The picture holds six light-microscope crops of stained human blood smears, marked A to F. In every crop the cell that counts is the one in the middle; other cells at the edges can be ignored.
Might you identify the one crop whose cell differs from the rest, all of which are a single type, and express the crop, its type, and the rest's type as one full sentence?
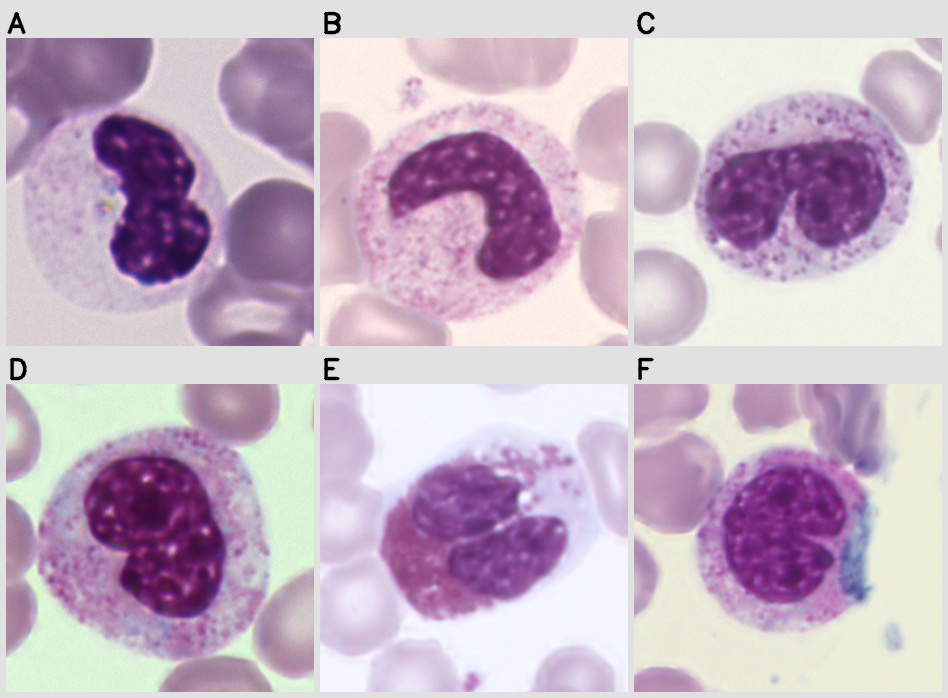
While crop E shows an eosinophil, the other crops all show band neutrophils.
